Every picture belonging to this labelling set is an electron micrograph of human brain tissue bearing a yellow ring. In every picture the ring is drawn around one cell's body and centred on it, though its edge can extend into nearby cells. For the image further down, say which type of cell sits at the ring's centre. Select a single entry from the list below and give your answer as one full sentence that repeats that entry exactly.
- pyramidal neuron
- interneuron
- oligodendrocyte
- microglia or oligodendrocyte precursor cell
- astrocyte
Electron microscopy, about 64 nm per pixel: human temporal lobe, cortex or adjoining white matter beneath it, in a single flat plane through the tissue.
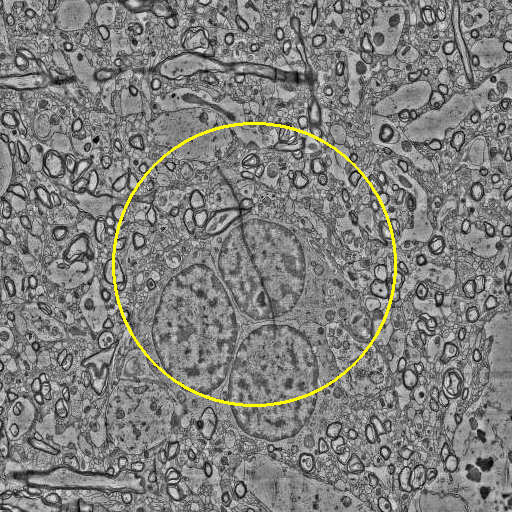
In the picture, an oligodendrocyte is the cell at the centre of the yellow ring.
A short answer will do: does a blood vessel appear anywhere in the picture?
No, there is no blood vessel in the image.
